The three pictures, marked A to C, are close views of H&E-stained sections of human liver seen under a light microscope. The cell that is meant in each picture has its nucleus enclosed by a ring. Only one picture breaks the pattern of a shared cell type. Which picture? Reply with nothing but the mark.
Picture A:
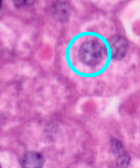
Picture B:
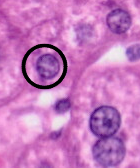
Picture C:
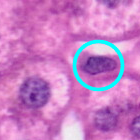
C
